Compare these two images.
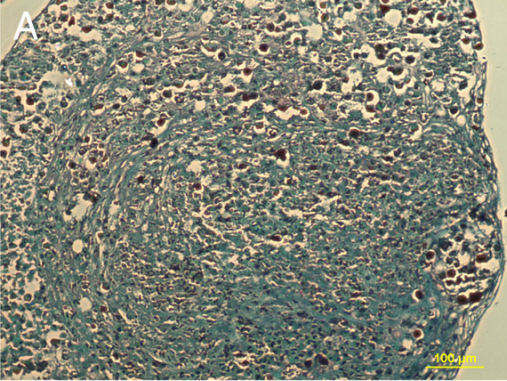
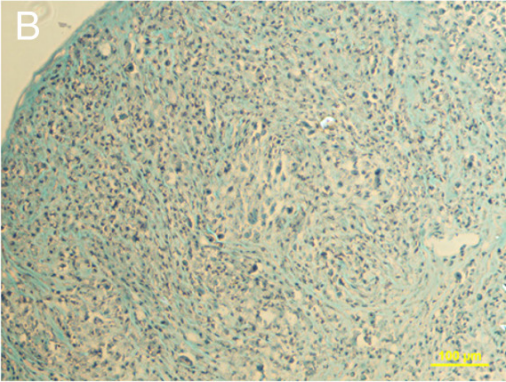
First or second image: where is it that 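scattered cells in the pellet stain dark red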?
the first image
